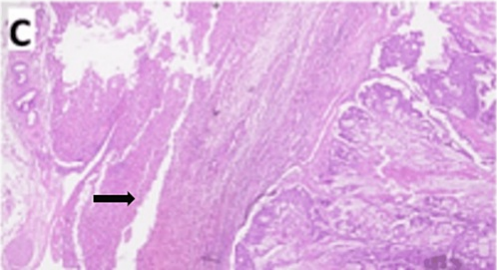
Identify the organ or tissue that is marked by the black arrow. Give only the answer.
Liver tissue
